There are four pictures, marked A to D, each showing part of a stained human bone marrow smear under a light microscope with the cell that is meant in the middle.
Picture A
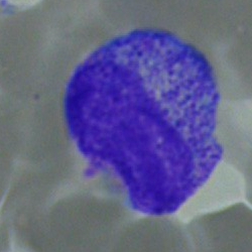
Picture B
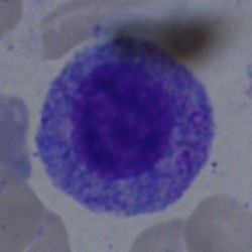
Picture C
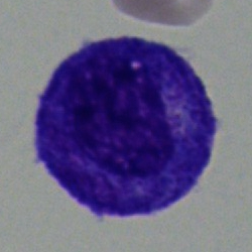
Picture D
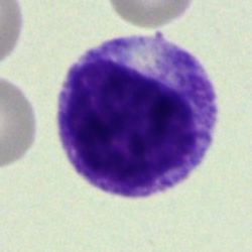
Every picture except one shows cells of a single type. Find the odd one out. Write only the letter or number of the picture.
C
